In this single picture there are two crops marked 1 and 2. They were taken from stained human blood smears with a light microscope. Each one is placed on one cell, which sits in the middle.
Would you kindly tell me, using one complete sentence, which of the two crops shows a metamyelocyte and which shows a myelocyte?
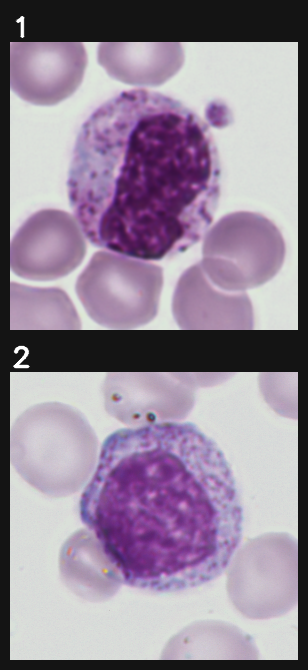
Crop 1 presents a metamyelocyte, and crop 2 presents a myelocyte.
